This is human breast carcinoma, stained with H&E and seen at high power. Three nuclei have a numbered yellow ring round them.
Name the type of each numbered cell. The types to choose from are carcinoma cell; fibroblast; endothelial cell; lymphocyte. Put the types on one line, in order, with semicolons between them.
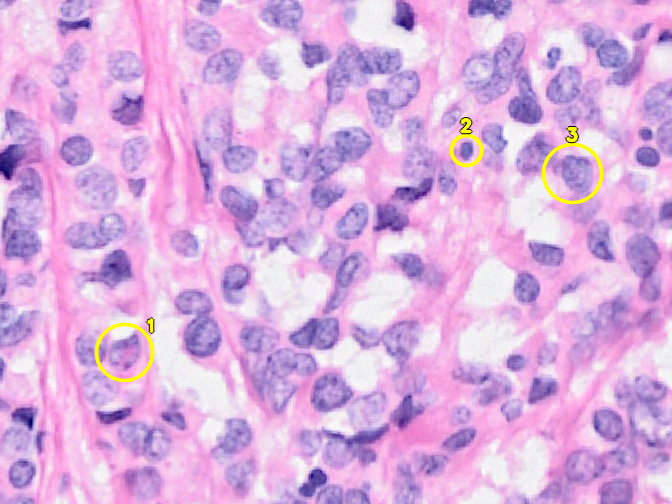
carcinoma cell; lymphocyte; carcinoma cell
